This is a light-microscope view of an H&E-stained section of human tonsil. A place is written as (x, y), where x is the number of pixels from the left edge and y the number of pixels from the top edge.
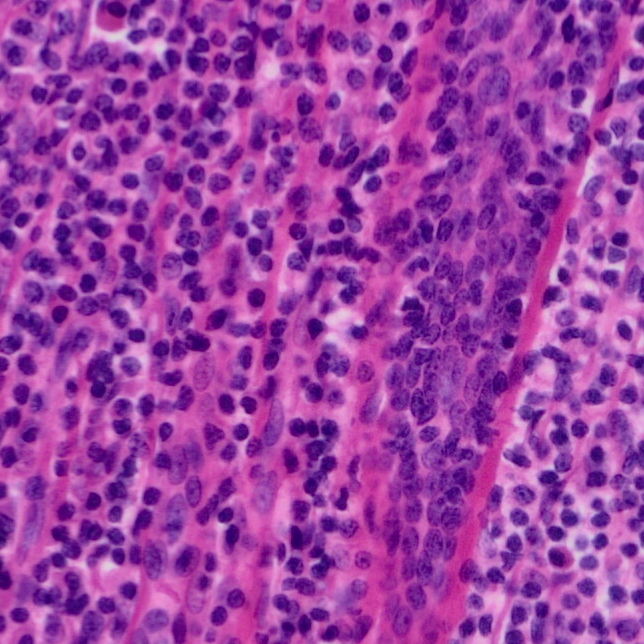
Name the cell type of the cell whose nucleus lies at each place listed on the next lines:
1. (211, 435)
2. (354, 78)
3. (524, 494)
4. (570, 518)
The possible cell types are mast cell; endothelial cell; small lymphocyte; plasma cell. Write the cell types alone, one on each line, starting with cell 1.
endothelial cell
plasma cell
plasma cell
small lymphocyte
